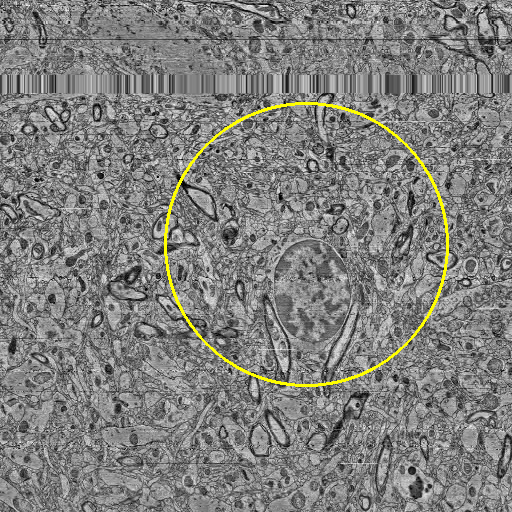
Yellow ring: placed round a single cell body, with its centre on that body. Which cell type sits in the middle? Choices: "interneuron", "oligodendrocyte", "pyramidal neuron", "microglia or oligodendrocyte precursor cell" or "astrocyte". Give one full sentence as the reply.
It is a microglial cell or oligodendrocyte precursor cell whose cell body sits at the centre of the yellow ring.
